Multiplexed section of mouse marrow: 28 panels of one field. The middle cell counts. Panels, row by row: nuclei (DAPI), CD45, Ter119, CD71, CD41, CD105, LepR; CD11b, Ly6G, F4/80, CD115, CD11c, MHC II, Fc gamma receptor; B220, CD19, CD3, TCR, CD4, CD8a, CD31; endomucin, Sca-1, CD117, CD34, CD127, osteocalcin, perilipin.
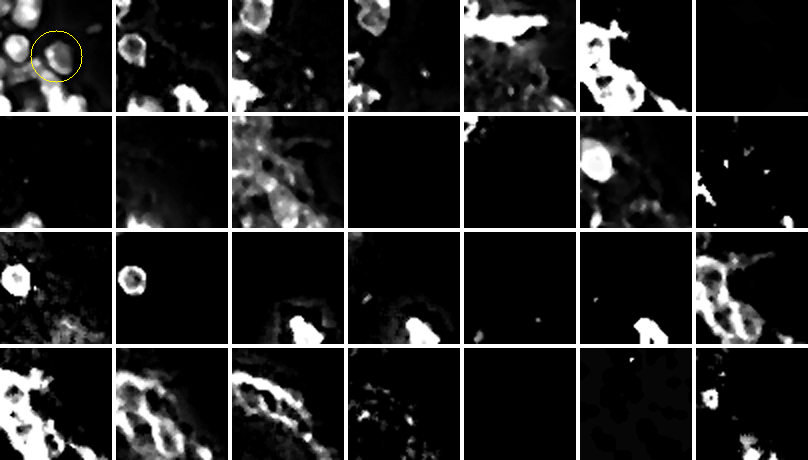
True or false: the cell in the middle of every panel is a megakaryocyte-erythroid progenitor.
True.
